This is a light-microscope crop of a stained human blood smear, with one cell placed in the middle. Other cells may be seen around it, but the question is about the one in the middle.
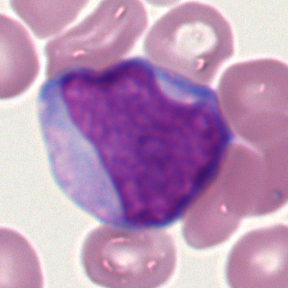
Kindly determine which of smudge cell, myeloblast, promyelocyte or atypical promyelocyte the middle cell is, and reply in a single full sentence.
In short, the cell at the center is an atypical promyelocyte.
